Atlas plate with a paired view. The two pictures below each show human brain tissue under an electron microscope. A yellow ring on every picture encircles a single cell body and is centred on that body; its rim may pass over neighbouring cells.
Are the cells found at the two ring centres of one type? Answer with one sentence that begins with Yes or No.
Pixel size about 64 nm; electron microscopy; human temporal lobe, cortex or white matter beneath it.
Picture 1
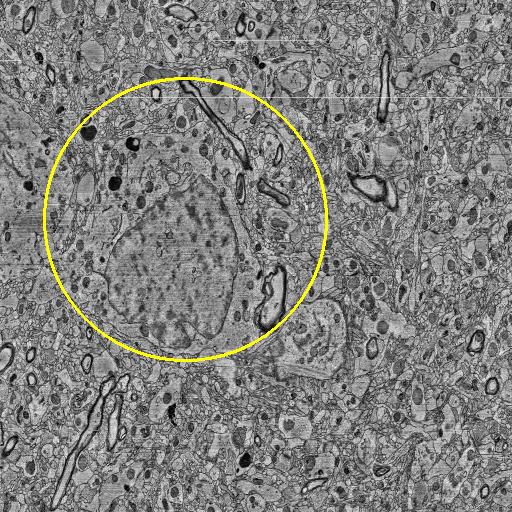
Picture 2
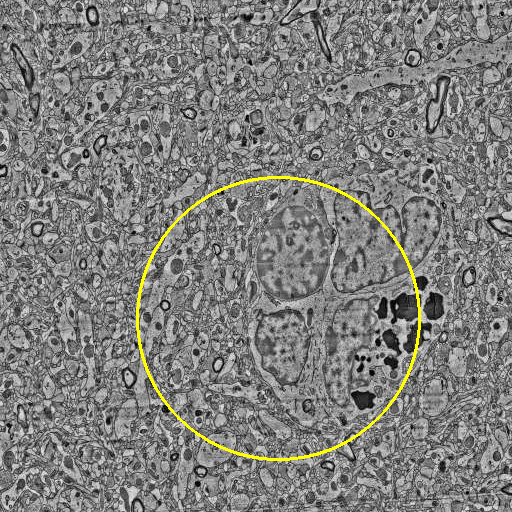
No, the two cells lying at the centres of the rings are of two types.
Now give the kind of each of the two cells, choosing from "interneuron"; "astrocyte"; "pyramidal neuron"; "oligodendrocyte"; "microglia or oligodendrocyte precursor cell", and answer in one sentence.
The cell in the first picture is an interneuron, and the cell in the second is a microglial cell or oligodendrocyte precursor cell.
